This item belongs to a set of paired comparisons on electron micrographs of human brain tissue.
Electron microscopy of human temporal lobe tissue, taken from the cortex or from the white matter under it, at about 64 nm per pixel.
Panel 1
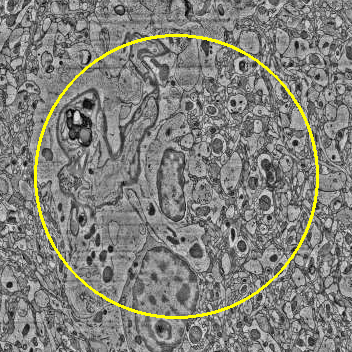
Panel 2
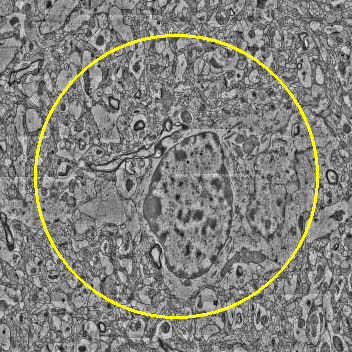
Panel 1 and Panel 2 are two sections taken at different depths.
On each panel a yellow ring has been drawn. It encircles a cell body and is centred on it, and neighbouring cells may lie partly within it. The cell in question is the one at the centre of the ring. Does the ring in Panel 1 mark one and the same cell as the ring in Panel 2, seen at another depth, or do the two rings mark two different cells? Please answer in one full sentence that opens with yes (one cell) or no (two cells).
No, these yellow rings each mark a separate cell.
